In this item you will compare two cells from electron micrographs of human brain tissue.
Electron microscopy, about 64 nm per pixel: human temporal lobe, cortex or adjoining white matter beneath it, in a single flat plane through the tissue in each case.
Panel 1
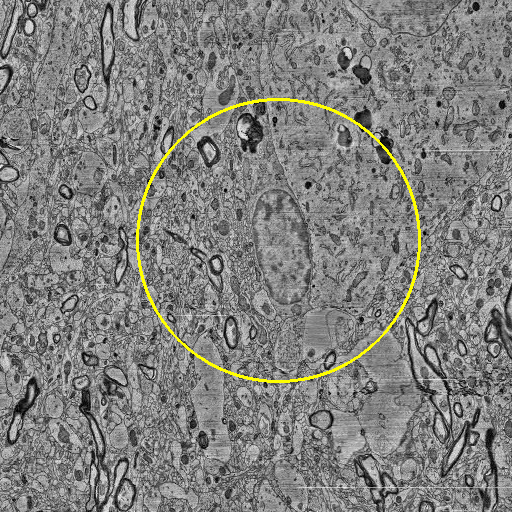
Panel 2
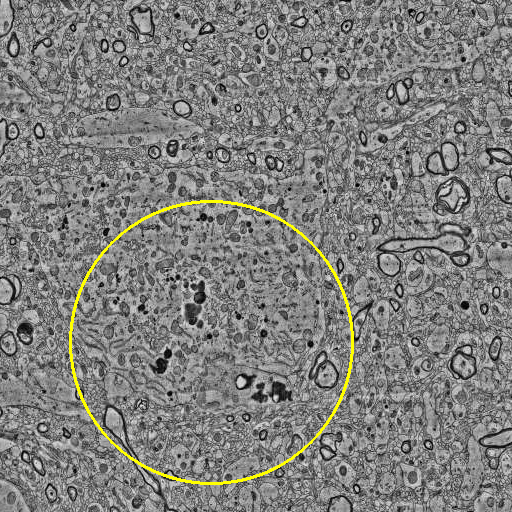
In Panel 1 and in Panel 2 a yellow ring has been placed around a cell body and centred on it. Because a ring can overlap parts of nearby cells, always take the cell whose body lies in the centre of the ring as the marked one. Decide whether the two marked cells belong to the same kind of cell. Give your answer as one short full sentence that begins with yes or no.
Yes, the two marked cells belong to the same kind of cell.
